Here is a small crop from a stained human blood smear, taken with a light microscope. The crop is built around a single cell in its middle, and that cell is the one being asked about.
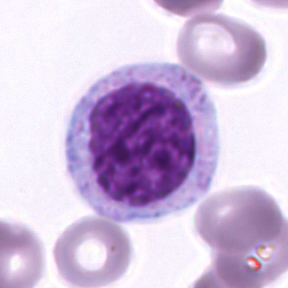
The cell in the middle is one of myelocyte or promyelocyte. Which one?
myelocyte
